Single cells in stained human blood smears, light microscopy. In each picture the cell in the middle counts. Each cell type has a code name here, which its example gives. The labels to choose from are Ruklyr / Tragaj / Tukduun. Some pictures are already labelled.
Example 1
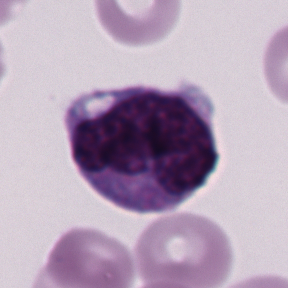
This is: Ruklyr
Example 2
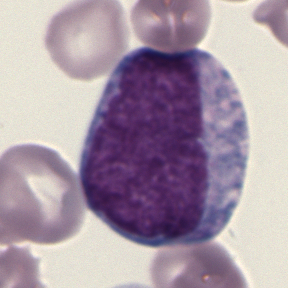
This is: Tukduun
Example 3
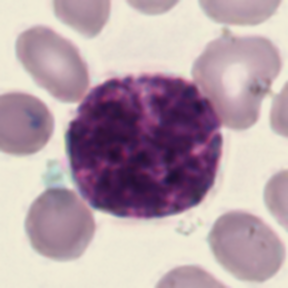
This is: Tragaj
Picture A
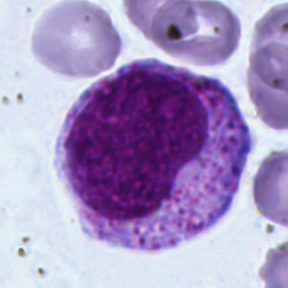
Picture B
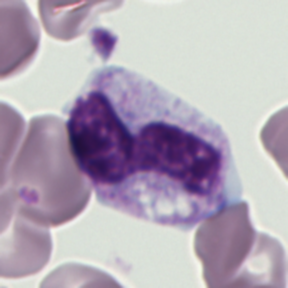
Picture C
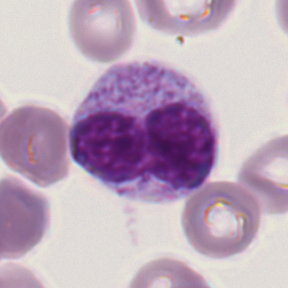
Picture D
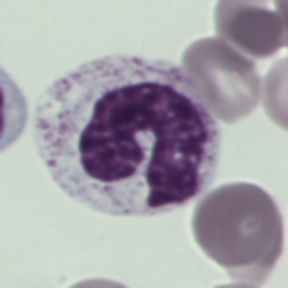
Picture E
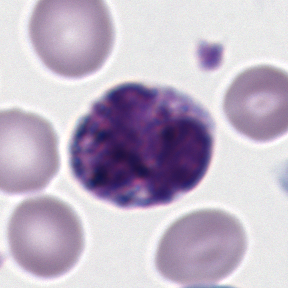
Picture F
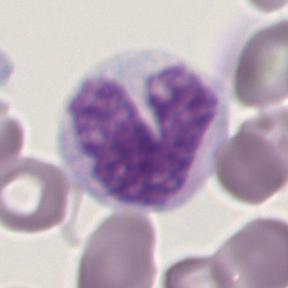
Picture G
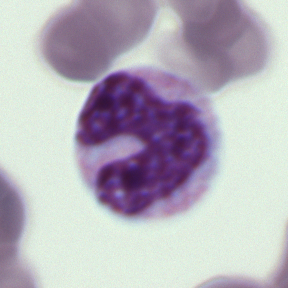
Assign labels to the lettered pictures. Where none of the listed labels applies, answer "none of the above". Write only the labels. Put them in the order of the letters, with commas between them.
Tukduun, none of the above, none of the above, none of the above, Tragaj, none of the above, none of the above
